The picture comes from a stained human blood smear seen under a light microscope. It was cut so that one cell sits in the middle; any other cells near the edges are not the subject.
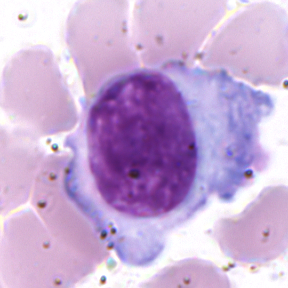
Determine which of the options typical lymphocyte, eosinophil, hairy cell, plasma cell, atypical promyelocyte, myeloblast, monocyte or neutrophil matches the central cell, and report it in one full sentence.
Positioned in the middle of the crop is a plasma cell.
